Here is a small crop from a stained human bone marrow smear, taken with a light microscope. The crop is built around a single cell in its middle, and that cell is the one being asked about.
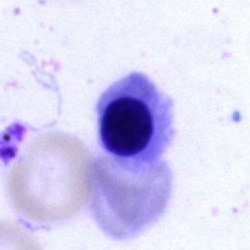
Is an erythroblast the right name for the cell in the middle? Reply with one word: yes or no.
yes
